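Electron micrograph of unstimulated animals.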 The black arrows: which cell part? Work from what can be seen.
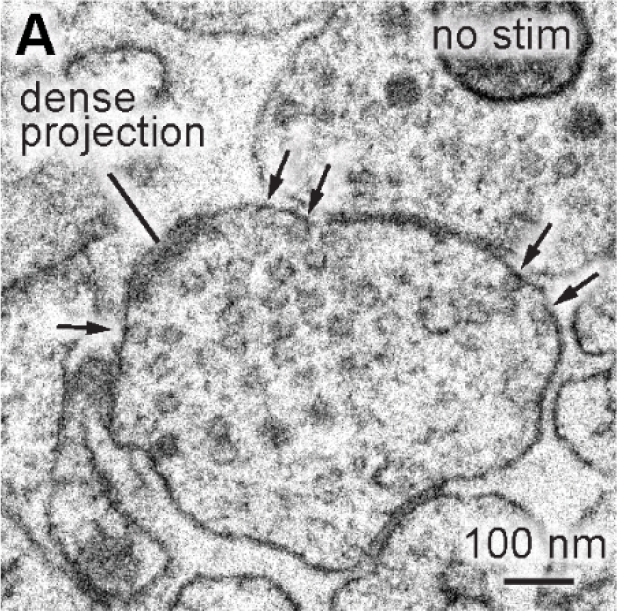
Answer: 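Small round clear membrane-bound profiles sit at the arrow tips. These profiles touch the plasma membrane of the terminal.
Answer: Docked vesicles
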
